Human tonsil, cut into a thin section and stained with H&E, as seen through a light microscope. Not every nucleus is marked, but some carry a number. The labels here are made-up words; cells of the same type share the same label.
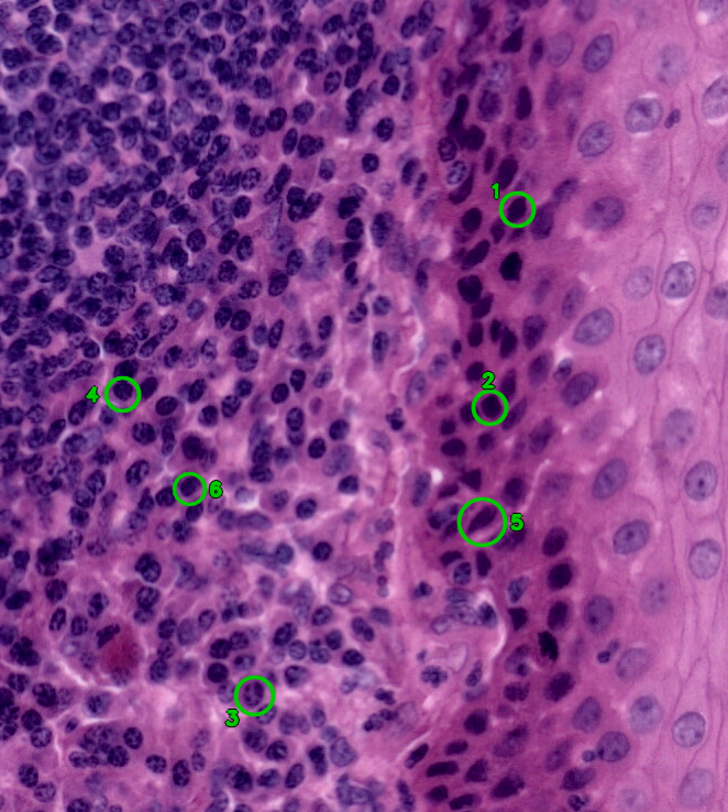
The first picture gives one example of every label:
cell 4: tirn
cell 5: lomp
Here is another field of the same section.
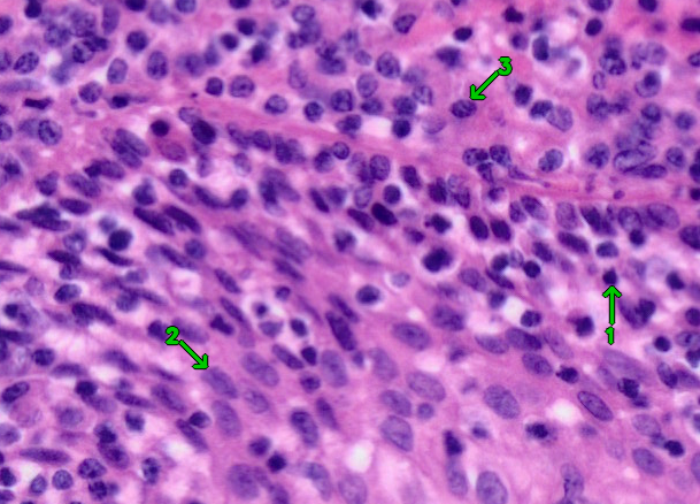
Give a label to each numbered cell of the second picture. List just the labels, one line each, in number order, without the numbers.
lomp
lomp
tirn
